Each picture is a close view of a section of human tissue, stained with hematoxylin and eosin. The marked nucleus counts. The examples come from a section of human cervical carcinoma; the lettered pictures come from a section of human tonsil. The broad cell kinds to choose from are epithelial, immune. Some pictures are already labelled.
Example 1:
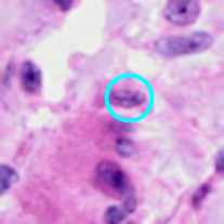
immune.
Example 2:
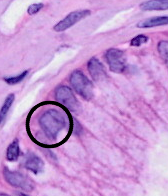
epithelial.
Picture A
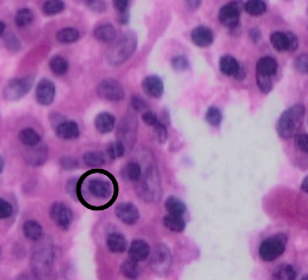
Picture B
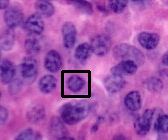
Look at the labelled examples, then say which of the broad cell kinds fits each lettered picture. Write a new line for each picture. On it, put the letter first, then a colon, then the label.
A: immune.
B: immune.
